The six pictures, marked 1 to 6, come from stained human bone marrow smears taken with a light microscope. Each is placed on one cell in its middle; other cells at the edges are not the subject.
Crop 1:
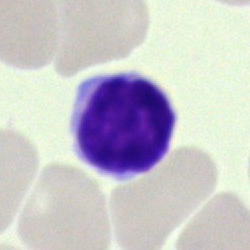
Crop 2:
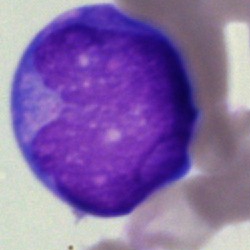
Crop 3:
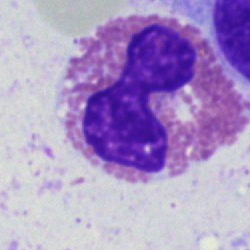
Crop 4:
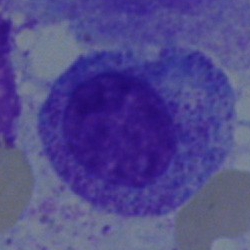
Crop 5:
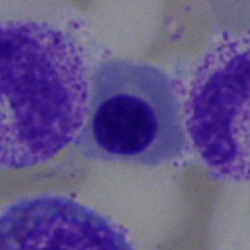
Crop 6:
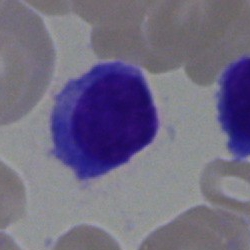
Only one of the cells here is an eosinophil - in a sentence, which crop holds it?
The correct choice is crop 3, the one showing an eosinophil.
